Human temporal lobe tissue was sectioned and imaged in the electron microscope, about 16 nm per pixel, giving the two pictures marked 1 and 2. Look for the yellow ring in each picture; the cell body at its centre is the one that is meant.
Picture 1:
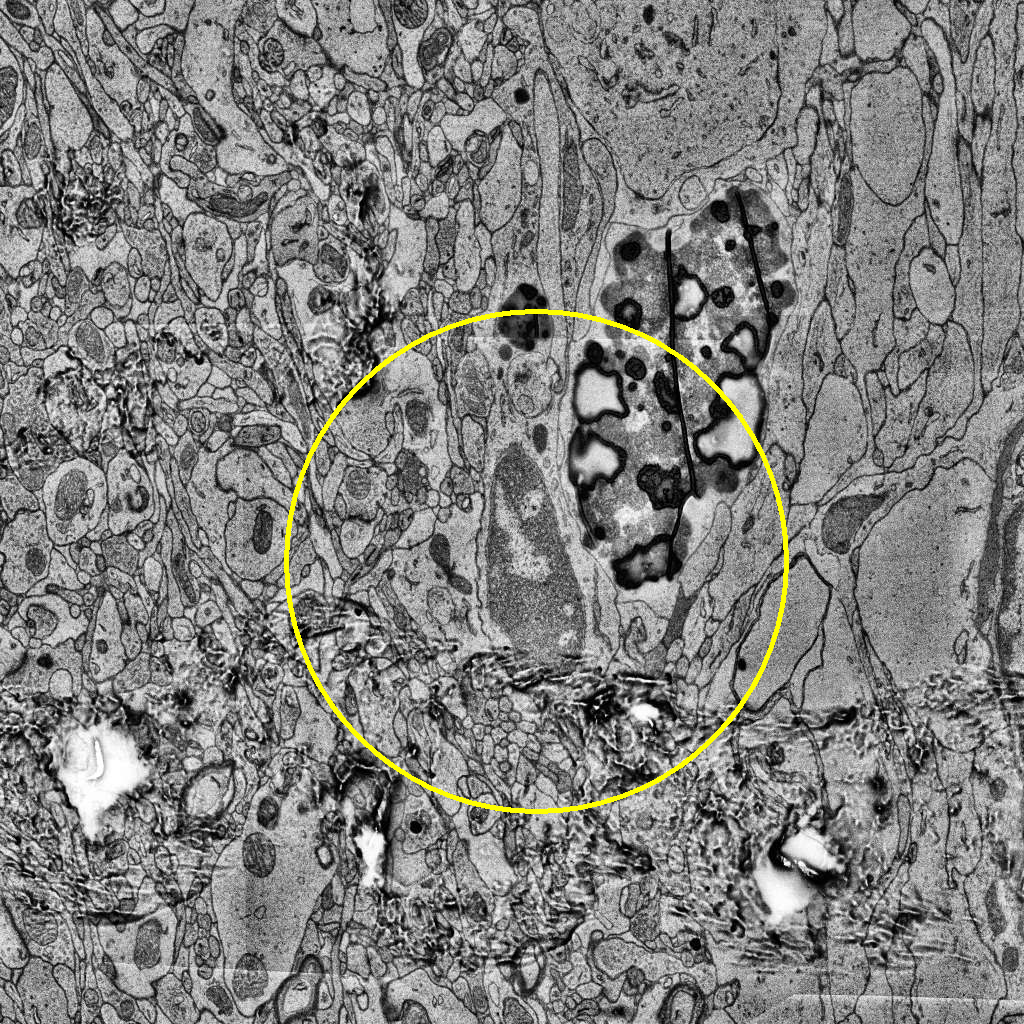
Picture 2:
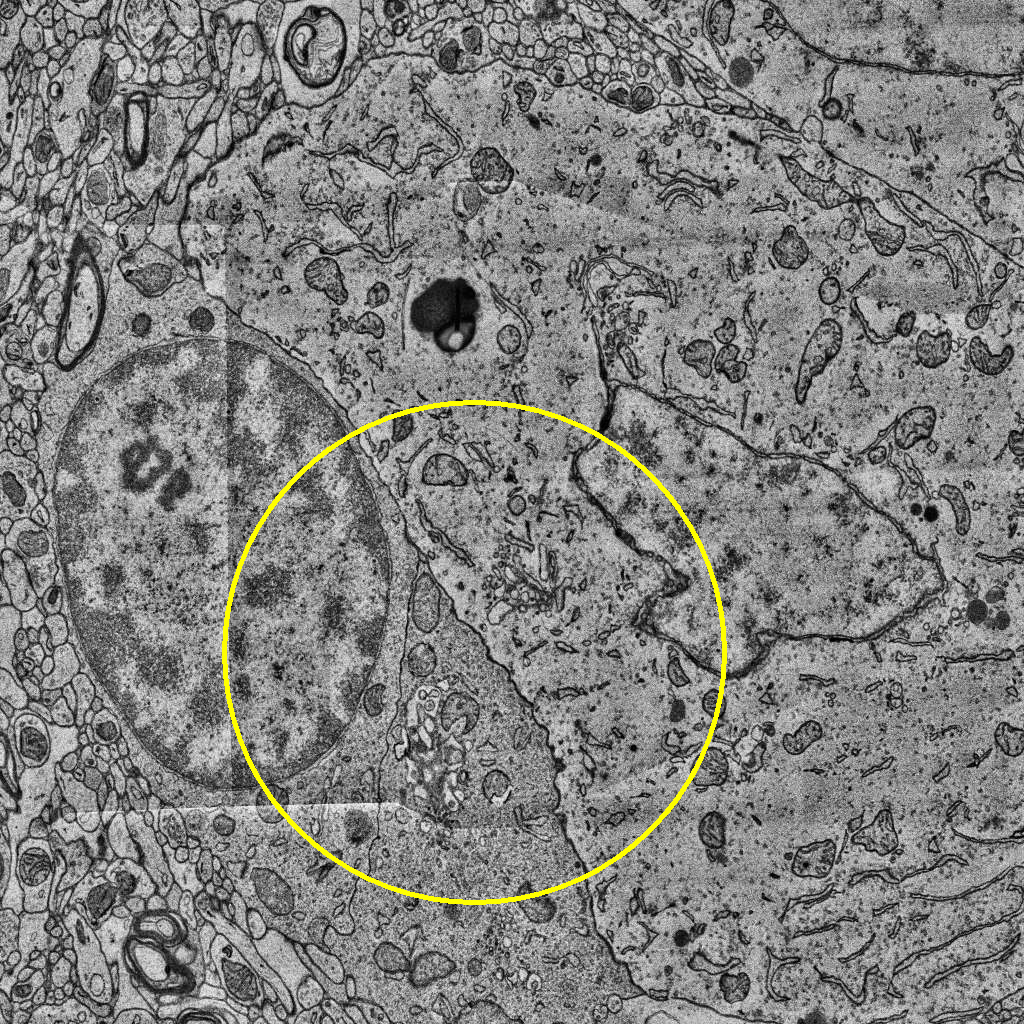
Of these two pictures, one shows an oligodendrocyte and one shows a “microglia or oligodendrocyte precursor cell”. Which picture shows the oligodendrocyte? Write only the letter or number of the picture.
2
